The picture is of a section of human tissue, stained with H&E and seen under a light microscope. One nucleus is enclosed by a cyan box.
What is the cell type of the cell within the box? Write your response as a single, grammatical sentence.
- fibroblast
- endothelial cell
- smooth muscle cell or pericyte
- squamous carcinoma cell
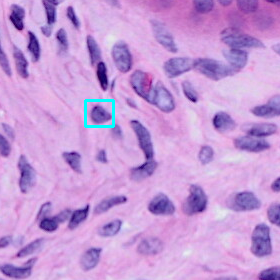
It is a fibroblast that the cell within the box represents.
